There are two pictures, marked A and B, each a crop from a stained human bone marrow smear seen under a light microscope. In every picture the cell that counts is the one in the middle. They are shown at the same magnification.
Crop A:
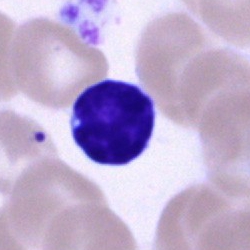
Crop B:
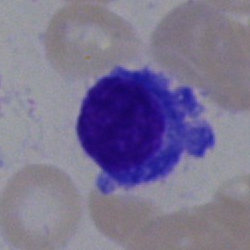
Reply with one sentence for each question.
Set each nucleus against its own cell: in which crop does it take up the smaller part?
It is the cell in crop B that is filled less by its nucleus.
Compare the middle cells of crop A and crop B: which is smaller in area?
Smaller is the cell in crop A, and the other is about 2.5 times as large in area.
